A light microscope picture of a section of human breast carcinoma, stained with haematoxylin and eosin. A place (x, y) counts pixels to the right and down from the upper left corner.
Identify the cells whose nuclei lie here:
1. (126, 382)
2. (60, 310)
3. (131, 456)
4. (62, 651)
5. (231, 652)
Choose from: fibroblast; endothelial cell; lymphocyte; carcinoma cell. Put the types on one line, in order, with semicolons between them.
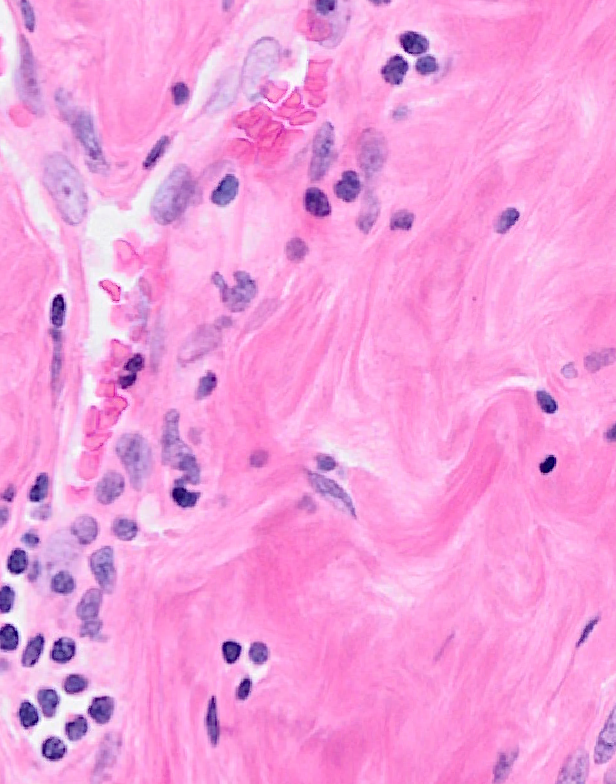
endothelial cell; lymphocyte; endothelial cell; lymphocyte; lymphocyte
